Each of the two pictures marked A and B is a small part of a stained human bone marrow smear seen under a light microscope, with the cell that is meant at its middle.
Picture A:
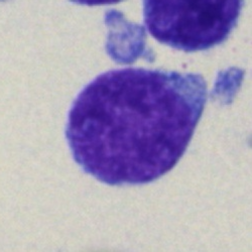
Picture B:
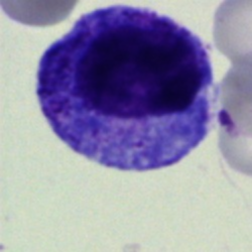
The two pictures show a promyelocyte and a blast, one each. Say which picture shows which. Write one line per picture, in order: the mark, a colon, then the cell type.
A: blast
B: promyelocyte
